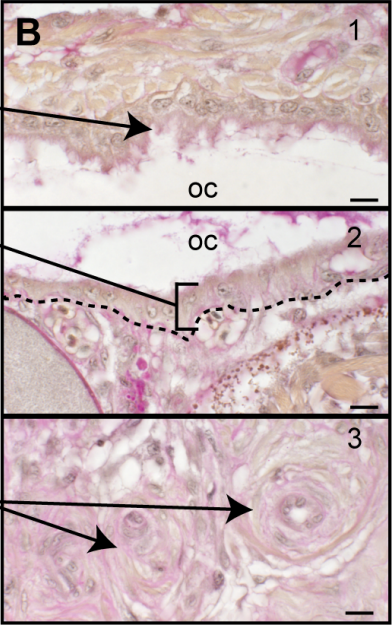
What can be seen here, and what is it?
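Three enlarged fields of ovary: the epithelium lining the ovarian cavity, the germinal epithelium, and the stromal compartment. The cavity lining is a layer of epithelial cells with oval nuclei and a fringed free border facing the cavity. The middle field shows an epithelial layer separated by a dashed line from underlying tissue that includes the edge of a large rounded cell. The lowest field shows stroma with vessels whose walls are concentric layers of flattened cells around a small lumen.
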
